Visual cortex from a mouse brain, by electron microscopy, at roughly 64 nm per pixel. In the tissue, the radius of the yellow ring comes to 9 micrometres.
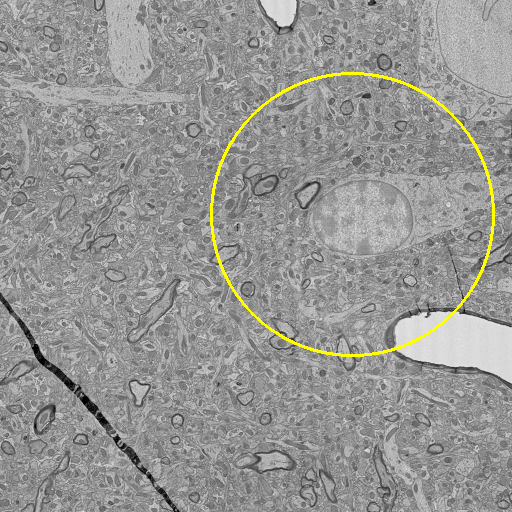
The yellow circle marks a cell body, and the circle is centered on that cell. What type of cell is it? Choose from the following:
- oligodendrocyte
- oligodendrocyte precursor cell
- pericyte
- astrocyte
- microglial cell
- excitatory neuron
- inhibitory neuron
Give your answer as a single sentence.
This cell body belongs to an oligodendrocyte.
